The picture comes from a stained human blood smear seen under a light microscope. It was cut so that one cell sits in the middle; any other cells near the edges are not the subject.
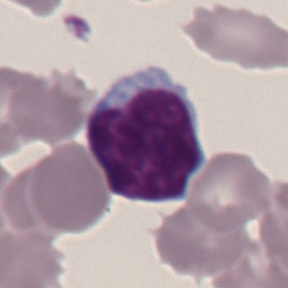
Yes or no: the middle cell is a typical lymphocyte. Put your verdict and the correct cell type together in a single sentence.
Yes, the identification of the central cell as a typical lymphocyte is correct.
